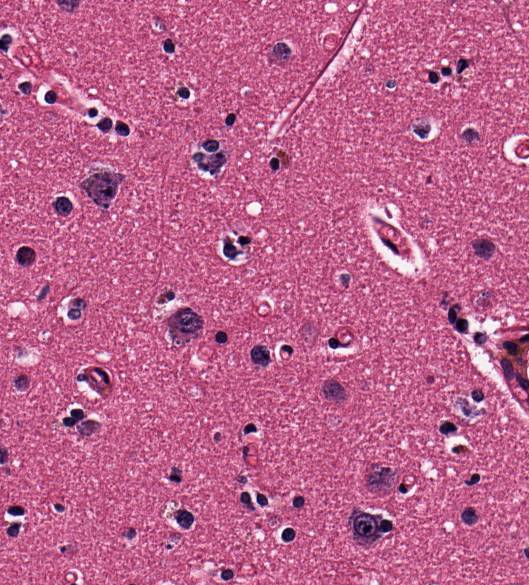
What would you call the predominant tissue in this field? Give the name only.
cerebral cortex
